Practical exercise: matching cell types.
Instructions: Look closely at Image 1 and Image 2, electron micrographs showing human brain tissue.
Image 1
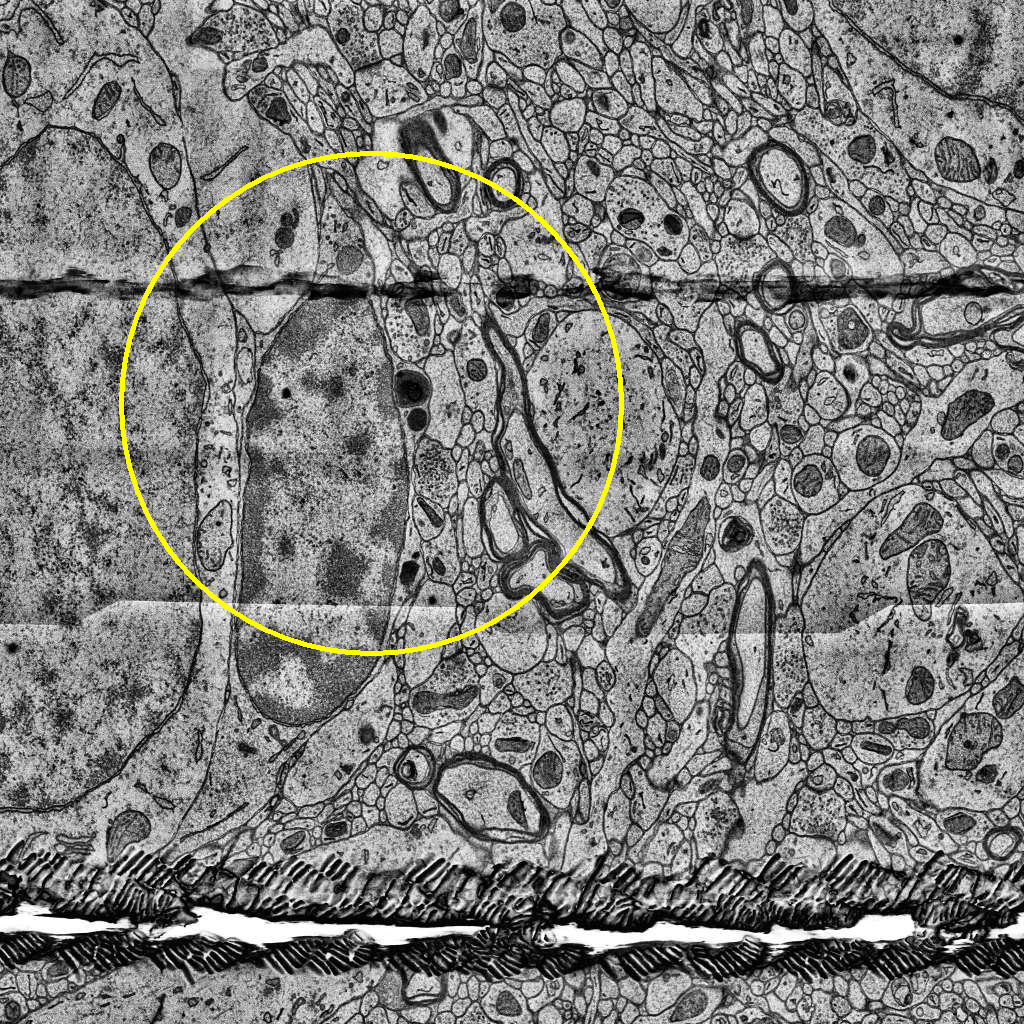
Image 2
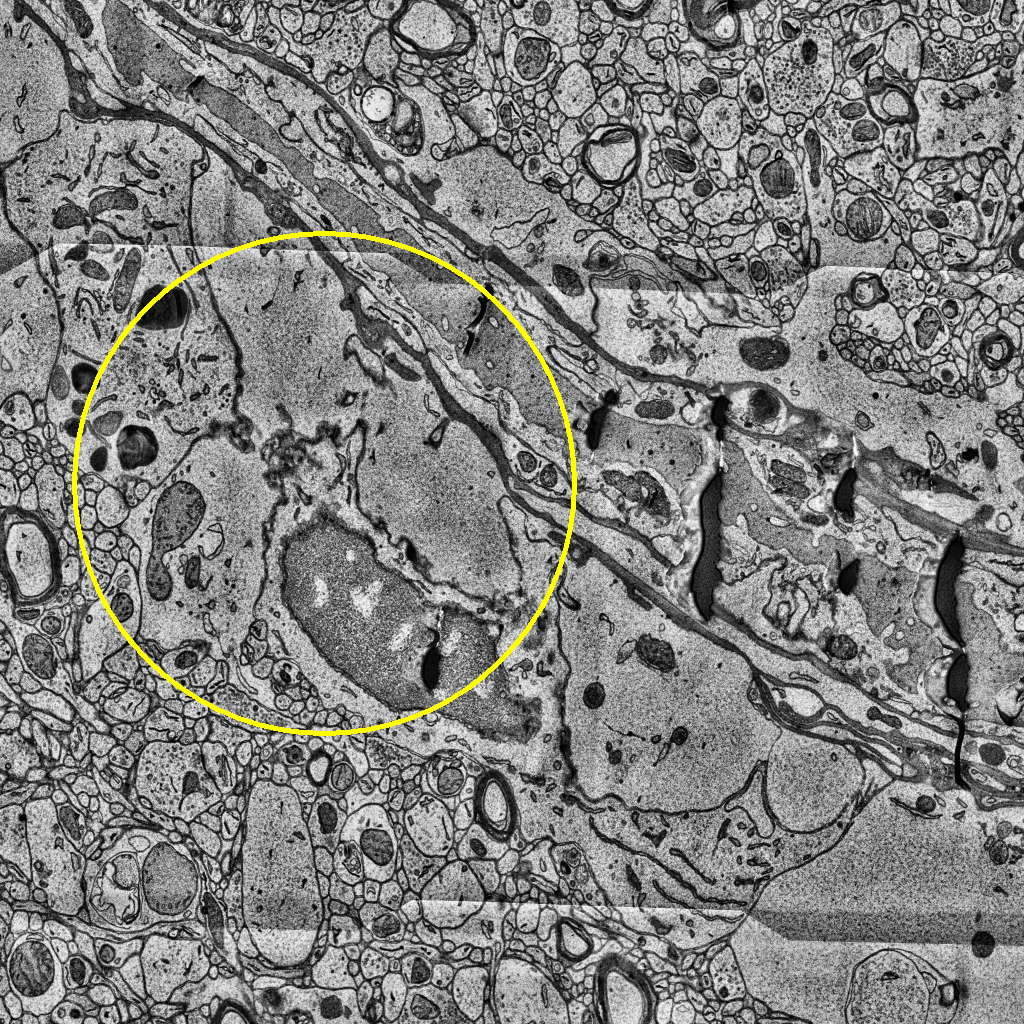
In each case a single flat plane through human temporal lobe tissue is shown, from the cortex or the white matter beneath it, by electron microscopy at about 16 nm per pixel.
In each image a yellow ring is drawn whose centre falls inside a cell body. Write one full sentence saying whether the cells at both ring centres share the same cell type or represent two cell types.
Across Image 1 and Image 2, the cells at the ring centres share the same cell type.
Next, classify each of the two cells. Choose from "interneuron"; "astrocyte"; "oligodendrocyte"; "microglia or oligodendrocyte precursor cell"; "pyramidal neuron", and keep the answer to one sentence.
The second cell is a microglial cell or oligodendrocyte precursor cell, just as the first is.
